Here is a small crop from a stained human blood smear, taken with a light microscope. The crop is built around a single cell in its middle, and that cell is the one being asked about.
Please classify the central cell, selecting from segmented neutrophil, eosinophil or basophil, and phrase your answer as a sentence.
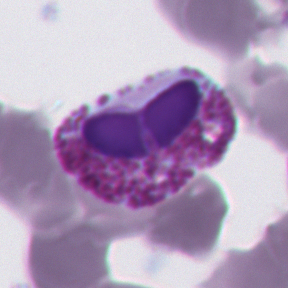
Within this crop, an eosinophil occupies the central position.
